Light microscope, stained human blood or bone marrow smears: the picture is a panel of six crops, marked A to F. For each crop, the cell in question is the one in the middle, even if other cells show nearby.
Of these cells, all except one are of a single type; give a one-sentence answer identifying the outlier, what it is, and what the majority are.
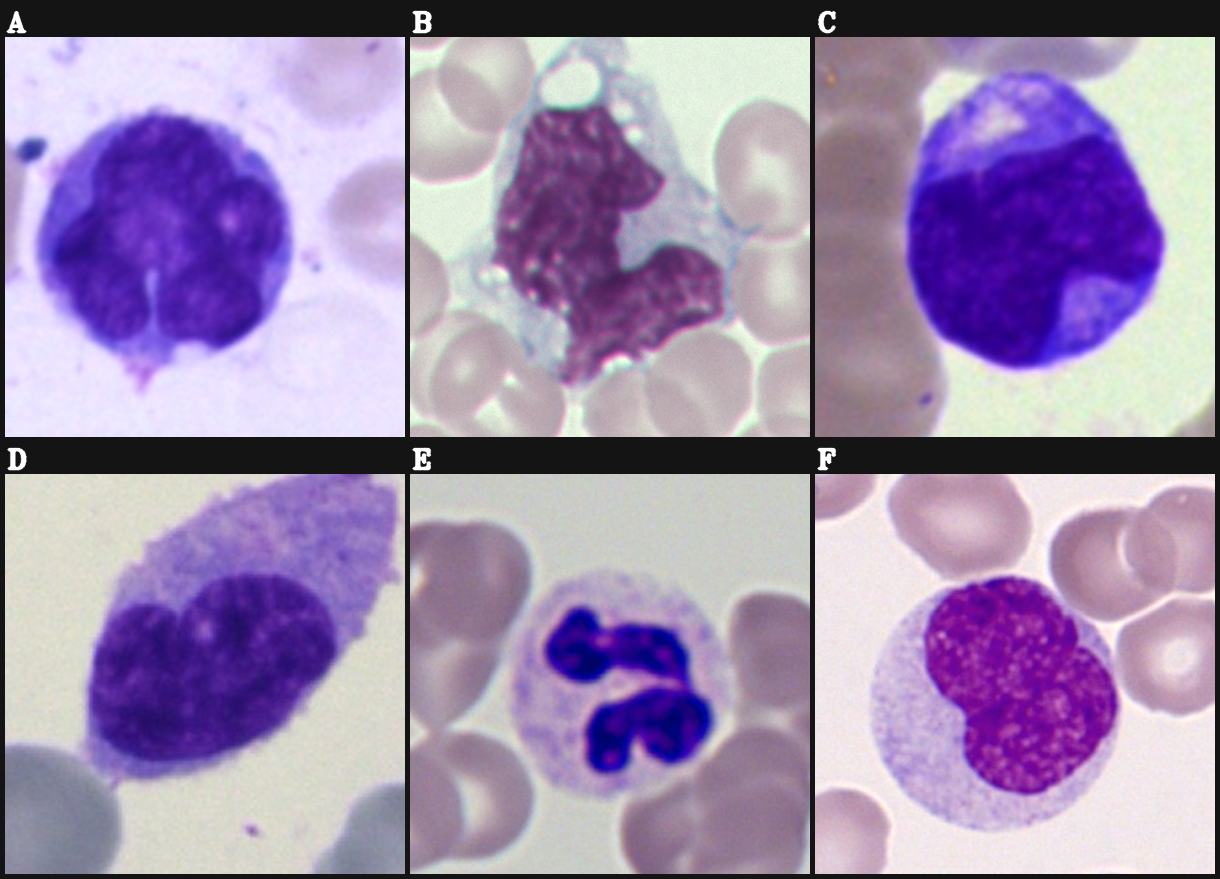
Crop E is not like the others: it is a segmented neutrophil, and they are monocytes.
